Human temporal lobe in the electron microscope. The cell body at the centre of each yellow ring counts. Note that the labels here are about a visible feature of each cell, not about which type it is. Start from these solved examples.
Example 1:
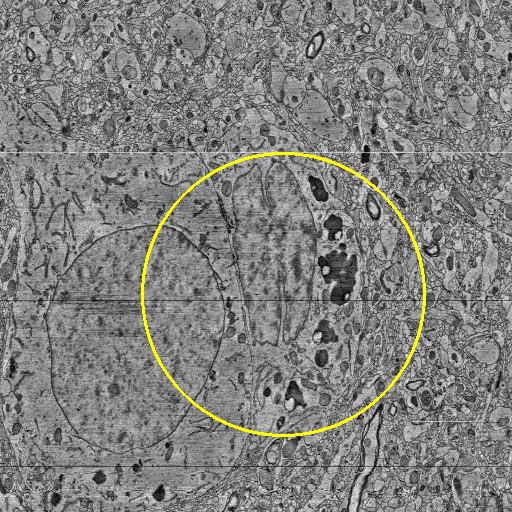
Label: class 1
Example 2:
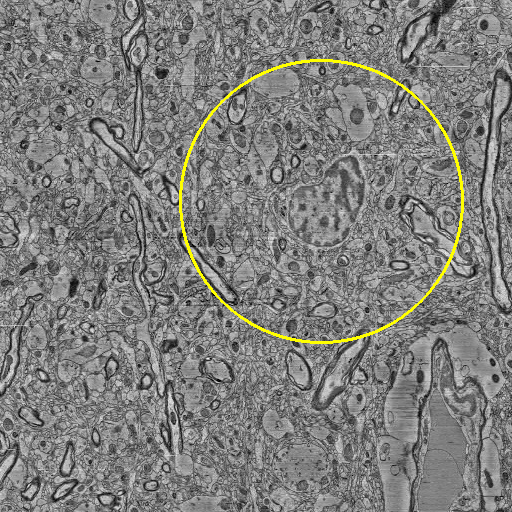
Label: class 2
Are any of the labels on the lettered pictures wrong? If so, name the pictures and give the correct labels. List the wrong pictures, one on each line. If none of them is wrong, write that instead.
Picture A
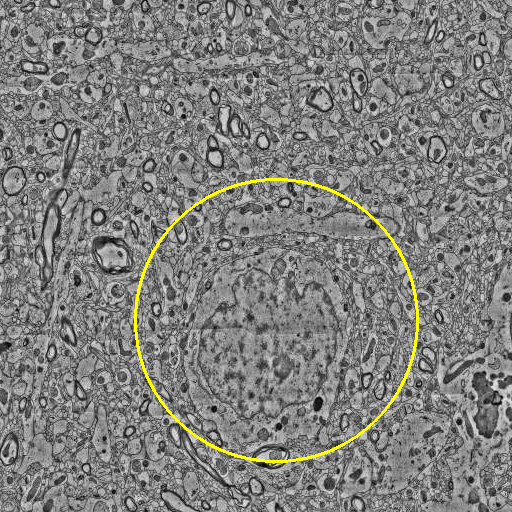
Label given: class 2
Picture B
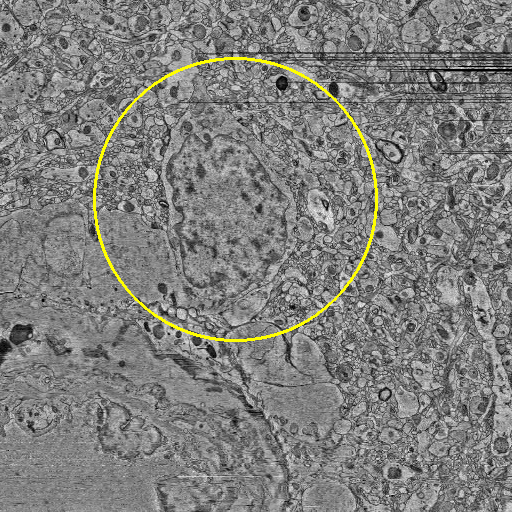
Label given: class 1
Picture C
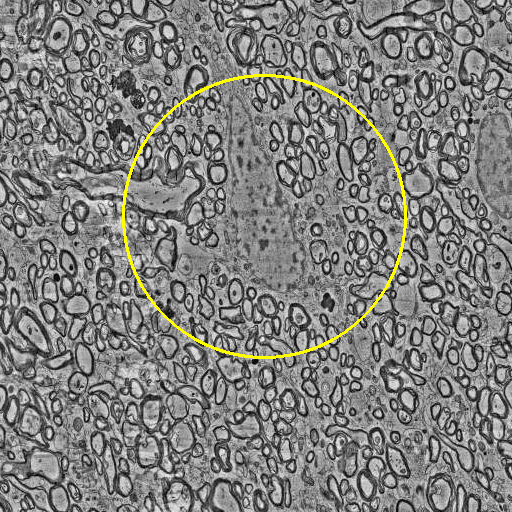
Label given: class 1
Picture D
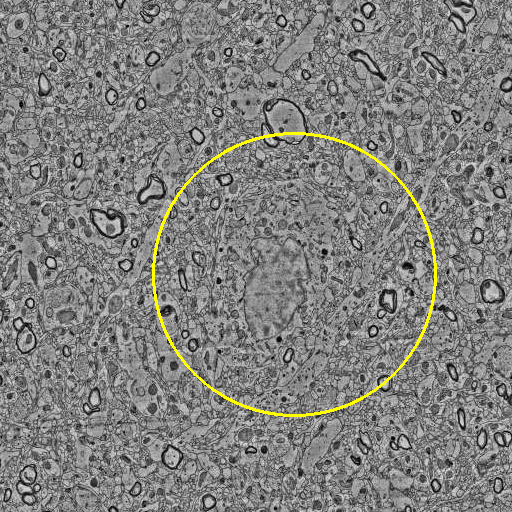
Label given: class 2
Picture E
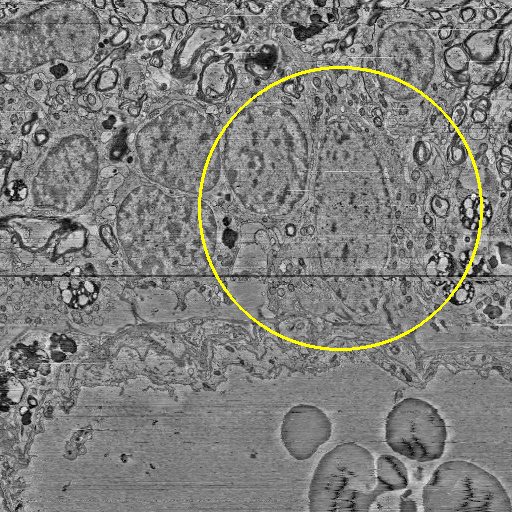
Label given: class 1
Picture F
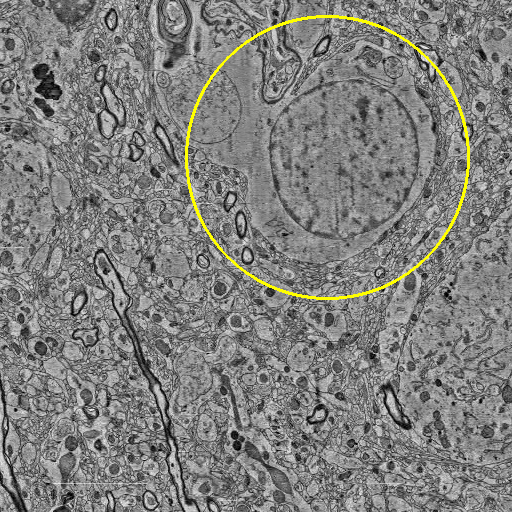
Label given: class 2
D: change class 2 to class 1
